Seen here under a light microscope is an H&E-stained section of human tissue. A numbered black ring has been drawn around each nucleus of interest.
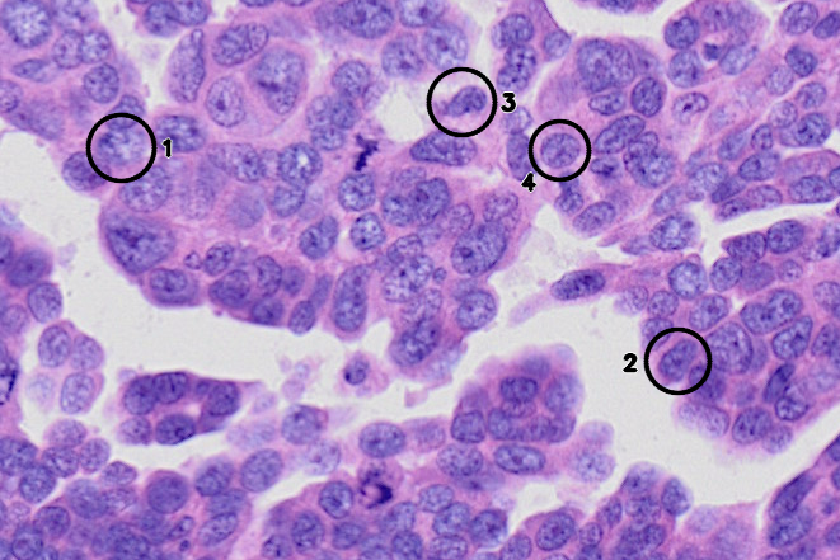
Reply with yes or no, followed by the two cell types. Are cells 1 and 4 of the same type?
Yes, the two cells, 1 and 4, are both carcinoma cells.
